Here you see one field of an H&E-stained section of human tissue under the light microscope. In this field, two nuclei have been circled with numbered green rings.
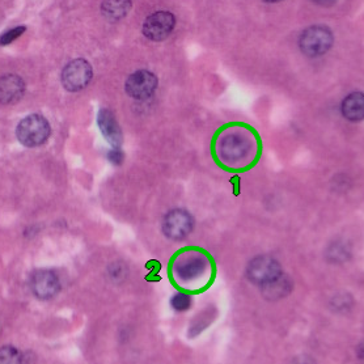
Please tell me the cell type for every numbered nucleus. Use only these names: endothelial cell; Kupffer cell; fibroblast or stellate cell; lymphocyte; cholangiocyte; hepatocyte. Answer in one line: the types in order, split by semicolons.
hepatocyte; fibroblast or stellate cell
